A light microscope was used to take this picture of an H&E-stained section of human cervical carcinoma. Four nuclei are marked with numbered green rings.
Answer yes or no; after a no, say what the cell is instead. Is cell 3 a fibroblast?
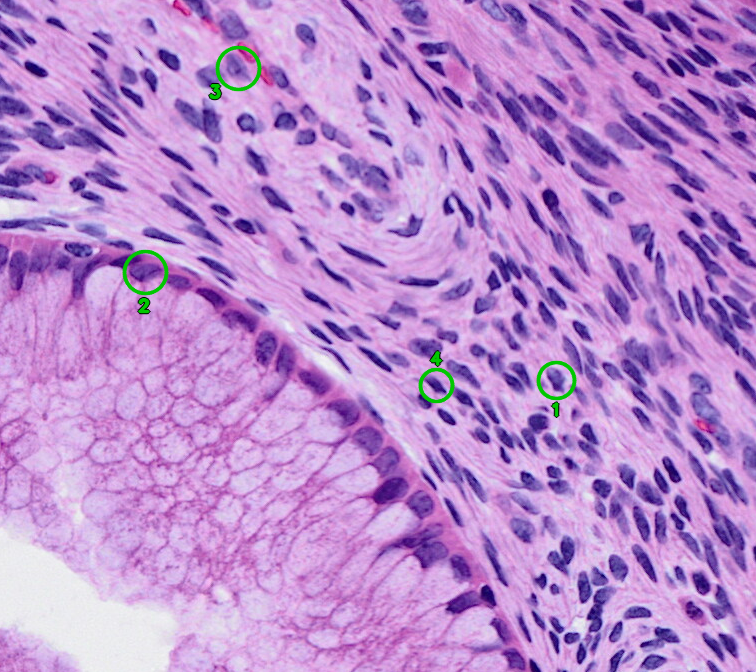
No, it is an endothelial cell.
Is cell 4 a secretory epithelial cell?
No, it is a fibroblast.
